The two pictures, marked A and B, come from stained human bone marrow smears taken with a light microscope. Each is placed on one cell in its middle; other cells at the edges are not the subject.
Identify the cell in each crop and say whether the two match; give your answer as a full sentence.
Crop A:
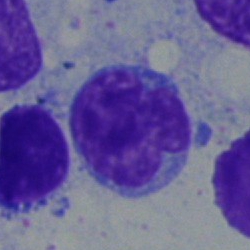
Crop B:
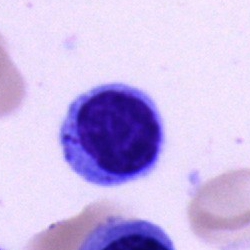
Yes, both crops show lymphocytes, each crop centred on one of them.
